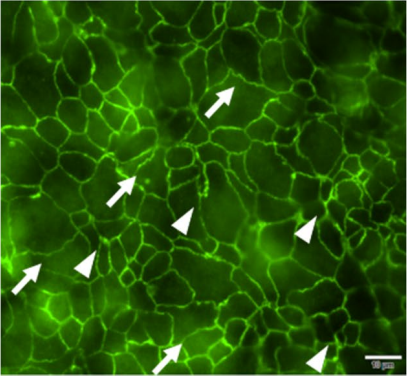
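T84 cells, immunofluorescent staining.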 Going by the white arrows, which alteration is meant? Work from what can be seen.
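Arrows point to cell borders that run in wavy, zigzag lines instead of straight segments.
Conclusion: sinusoidal irregularities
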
